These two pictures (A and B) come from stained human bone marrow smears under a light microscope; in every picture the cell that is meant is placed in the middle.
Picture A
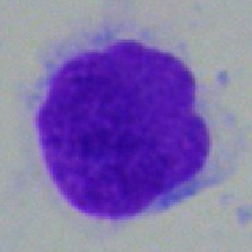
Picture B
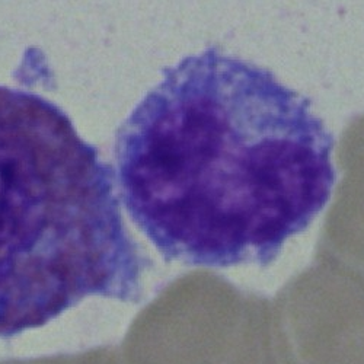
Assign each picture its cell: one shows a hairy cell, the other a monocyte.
A: hairy cell
B: monocyte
